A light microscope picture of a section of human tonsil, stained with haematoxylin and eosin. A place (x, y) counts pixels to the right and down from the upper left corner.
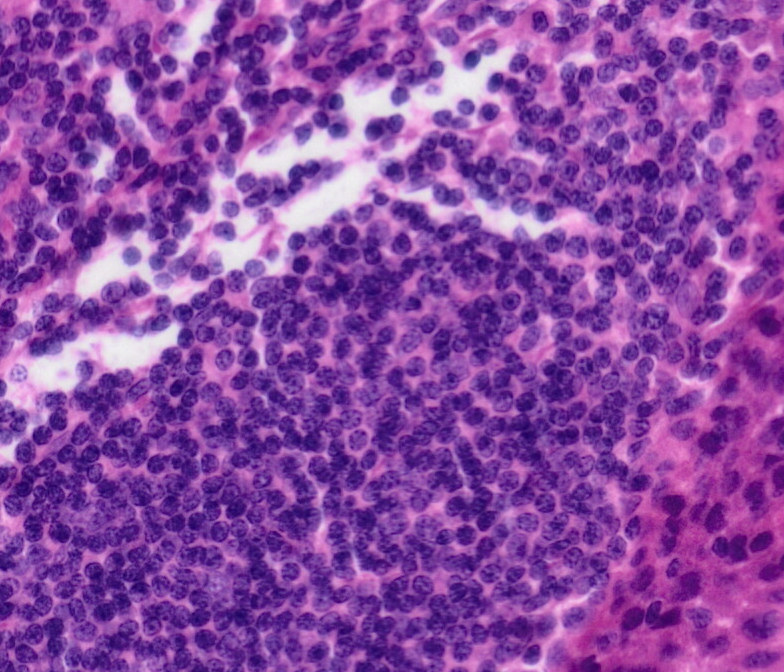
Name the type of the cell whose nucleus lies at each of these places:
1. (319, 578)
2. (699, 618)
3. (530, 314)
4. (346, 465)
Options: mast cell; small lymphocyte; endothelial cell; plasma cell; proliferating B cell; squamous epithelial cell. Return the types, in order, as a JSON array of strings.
["small lymphocyte", "squamous epithelial cell", "small lymphocyte", "small lymphocyte"]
